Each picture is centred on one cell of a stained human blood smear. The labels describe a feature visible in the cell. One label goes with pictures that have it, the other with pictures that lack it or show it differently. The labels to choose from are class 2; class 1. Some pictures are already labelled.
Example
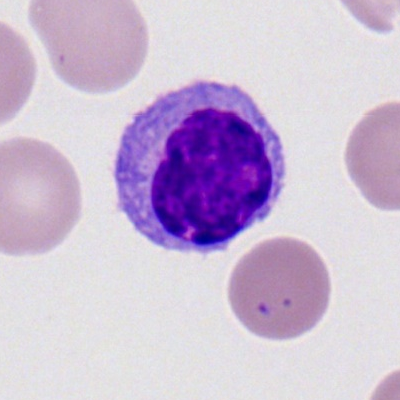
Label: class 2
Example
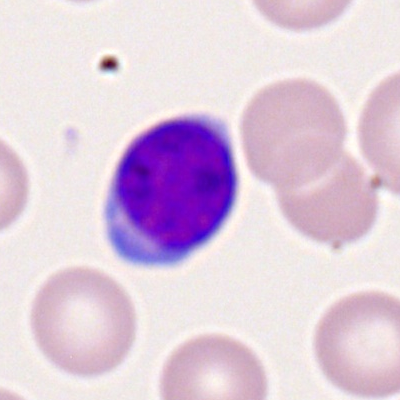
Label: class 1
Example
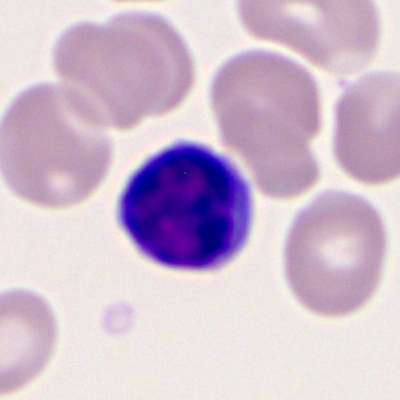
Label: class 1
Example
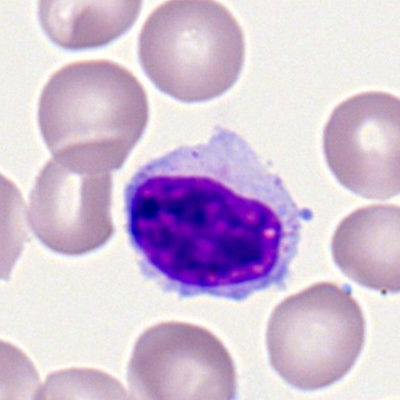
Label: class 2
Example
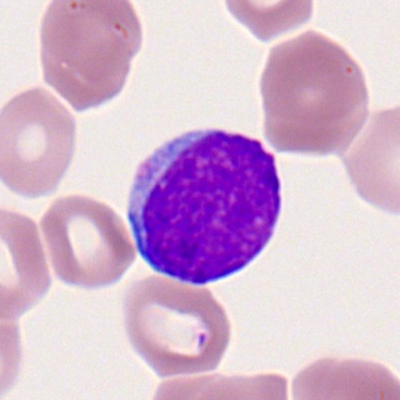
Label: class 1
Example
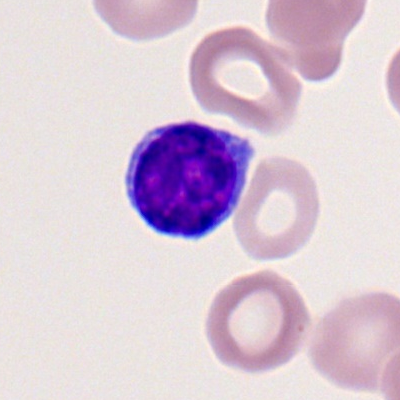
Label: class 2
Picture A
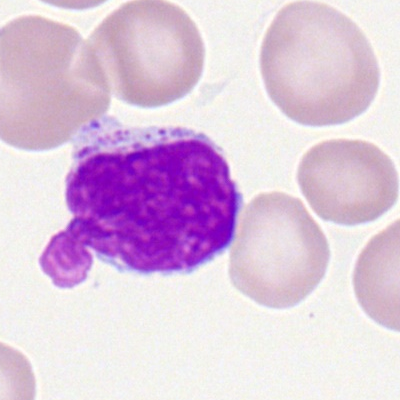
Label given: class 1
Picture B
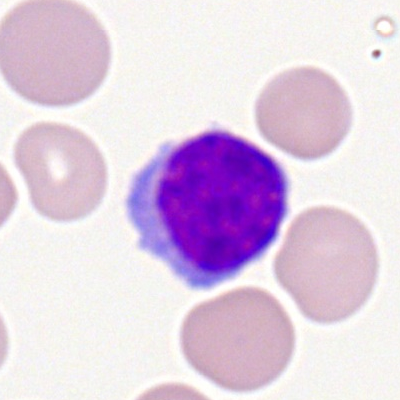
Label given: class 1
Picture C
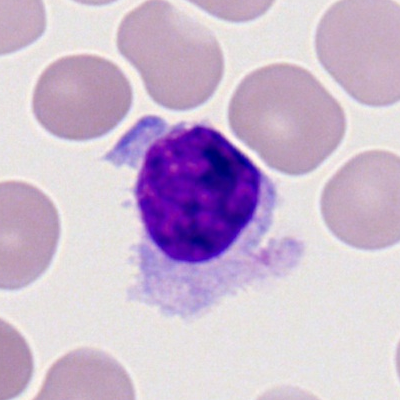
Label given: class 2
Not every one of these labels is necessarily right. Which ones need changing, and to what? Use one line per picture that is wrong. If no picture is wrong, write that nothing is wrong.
A: not class 1 but class 2
B: not class 1 but class 2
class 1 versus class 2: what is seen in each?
Seen in class 1: smooth outline; seen in class 2: ragged outline or projections.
